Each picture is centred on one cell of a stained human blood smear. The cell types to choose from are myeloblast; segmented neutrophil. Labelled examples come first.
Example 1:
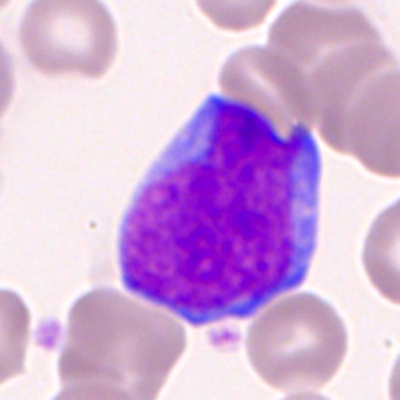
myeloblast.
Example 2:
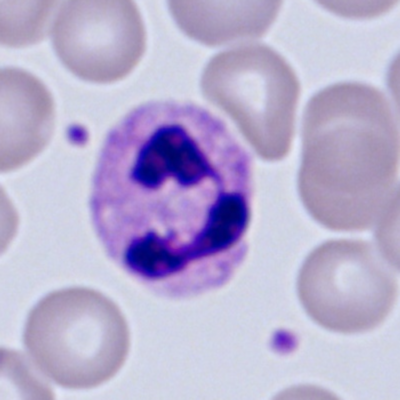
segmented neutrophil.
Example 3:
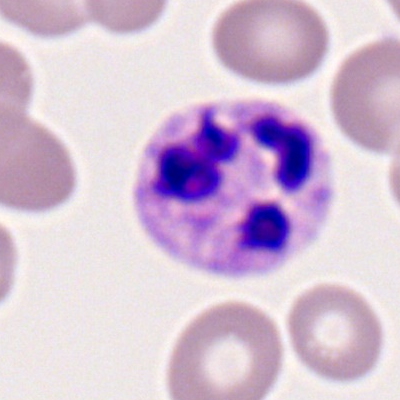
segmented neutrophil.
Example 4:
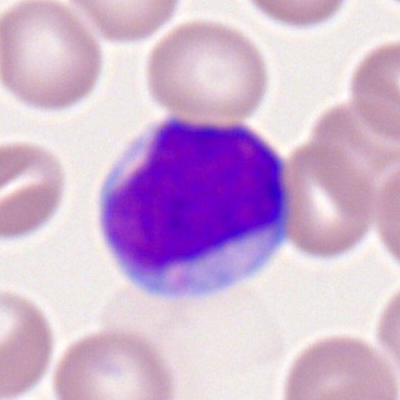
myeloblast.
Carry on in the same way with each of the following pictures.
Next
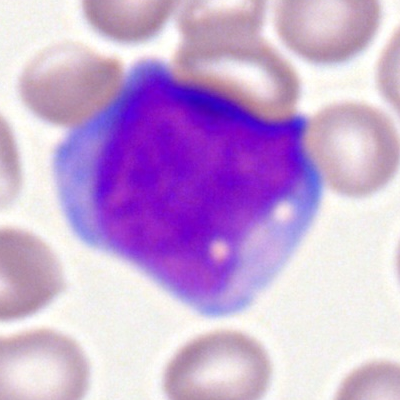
myeloblast.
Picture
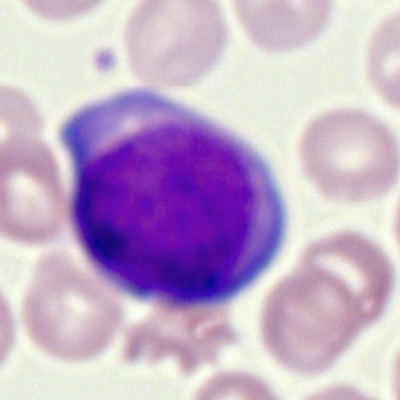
myeloblast.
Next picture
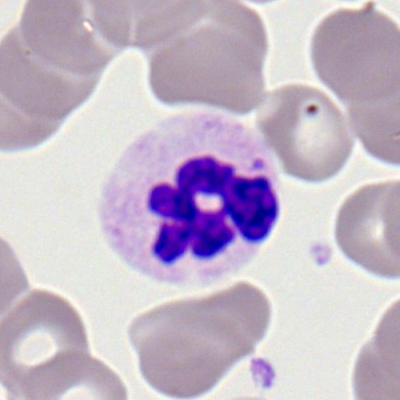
segmented neutrophil.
